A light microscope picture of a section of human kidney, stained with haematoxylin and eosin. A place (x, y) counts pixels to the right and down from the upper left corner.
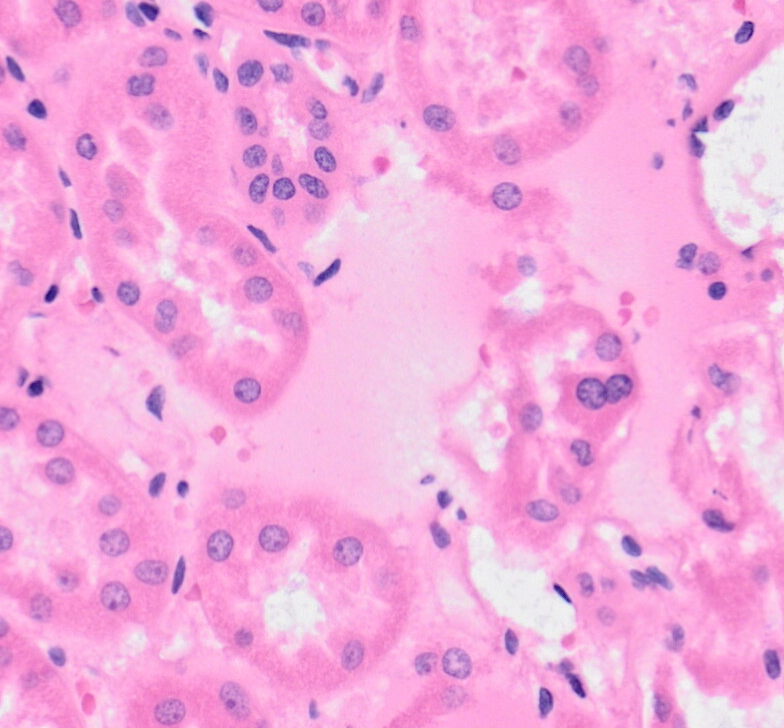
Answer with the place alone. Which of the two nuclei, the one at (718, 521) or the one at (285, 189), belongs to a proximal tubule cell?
(718, 521)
